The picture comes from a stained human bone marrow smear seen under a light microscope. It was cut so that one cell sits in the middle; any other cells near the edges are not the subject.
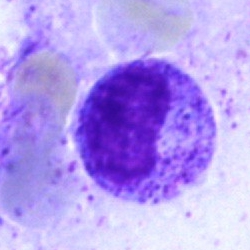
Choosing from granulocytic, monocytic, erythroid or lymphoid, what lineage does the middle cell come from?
granulocytic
